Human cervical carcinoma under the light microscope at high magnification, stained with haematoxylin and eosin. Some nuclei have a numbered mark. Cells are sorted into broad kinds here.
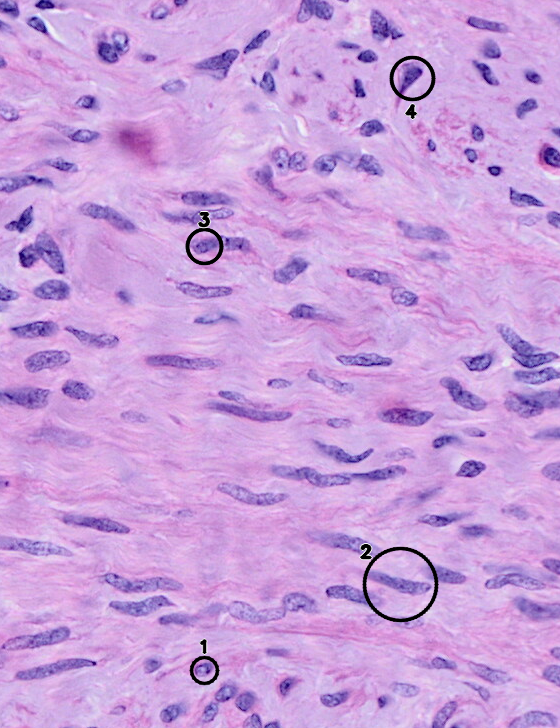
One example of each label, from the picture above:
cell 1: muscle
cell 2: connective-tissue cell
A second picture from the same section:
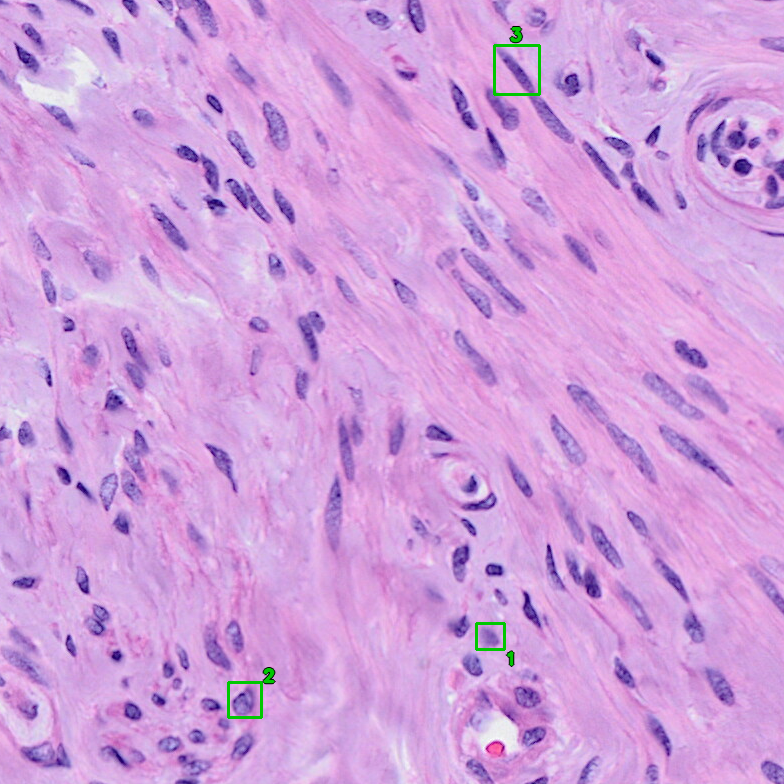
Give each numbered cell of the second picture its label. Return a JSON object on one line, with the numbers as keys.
{"1": "connective-tissue cell", "2": "muscle", "3": "connective-tissue cell"}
